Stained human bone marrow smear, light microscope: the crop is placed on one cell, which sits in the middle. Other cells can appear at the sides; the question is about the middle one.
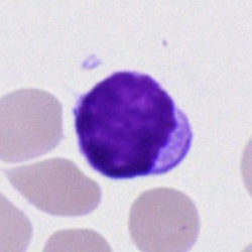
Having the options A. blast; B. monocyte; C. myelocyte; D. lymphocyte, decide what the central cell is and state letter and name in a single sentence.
The cell shown centrally is a lymphocyte; option D is the correct option.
